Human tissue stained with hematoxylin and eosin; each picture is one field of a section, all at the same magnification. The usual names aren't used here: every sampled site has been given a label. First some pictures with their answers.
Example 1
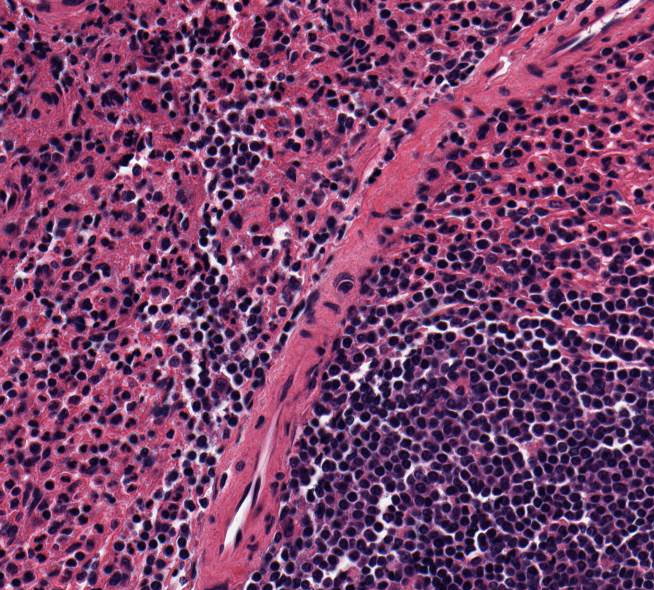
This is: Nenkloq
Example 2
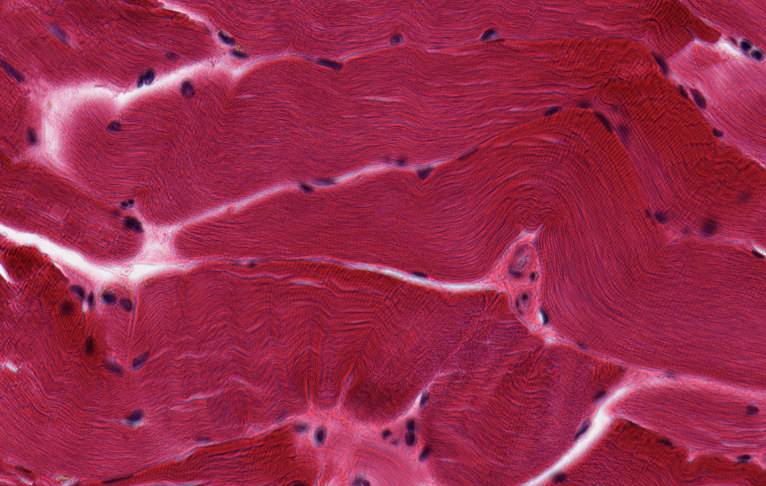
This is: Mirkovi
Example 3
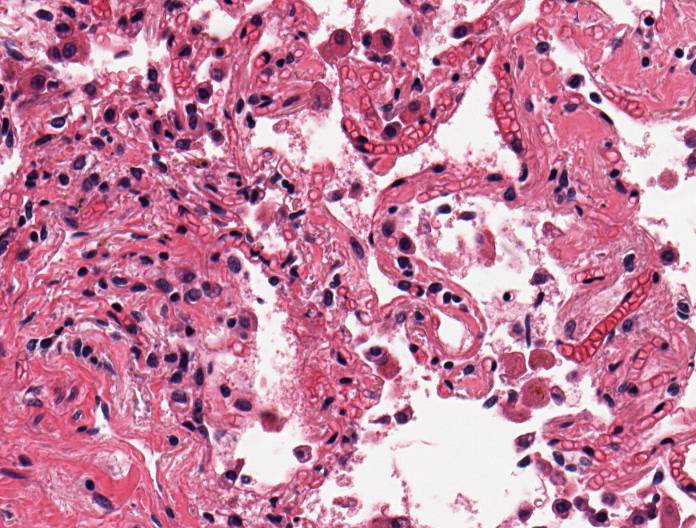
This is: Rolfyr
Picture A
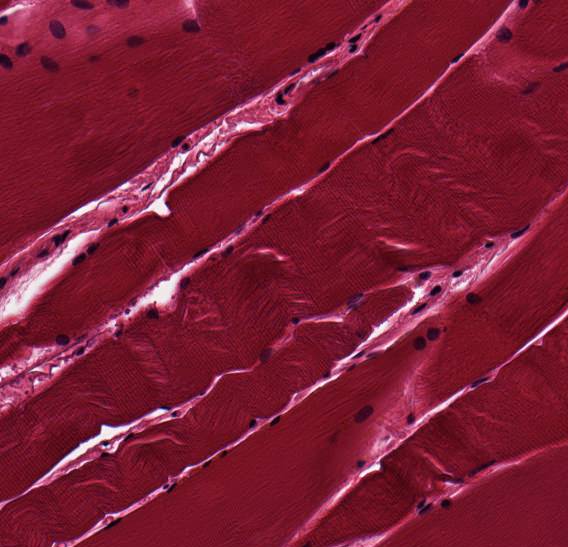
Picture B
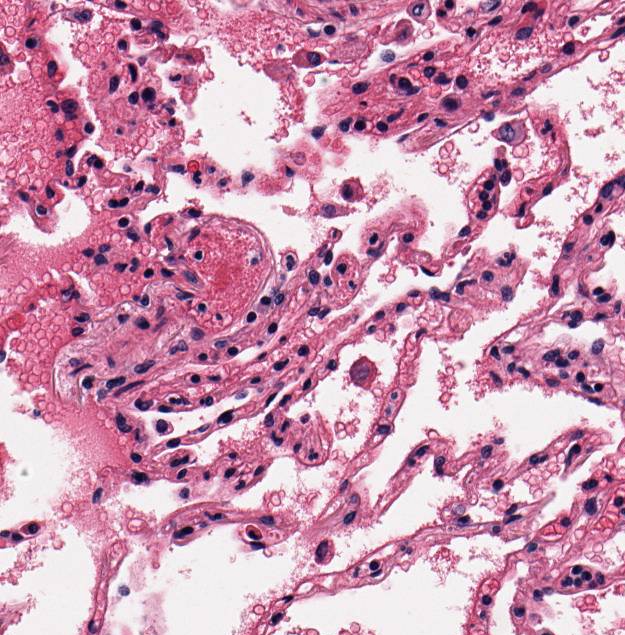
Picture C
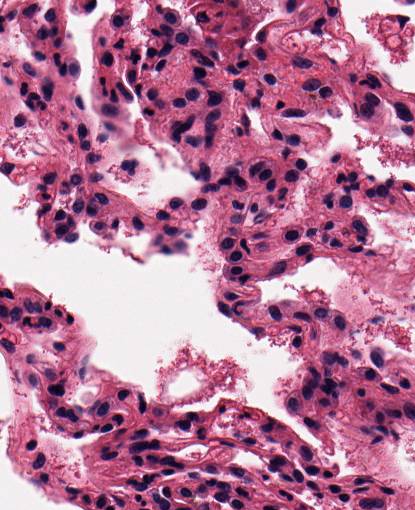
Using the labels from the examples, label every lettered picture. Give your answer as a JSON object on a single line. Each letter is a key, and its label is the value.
{"A": "Mirkovi", "B": "Rolfyr", "C": "Rolfyr"}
